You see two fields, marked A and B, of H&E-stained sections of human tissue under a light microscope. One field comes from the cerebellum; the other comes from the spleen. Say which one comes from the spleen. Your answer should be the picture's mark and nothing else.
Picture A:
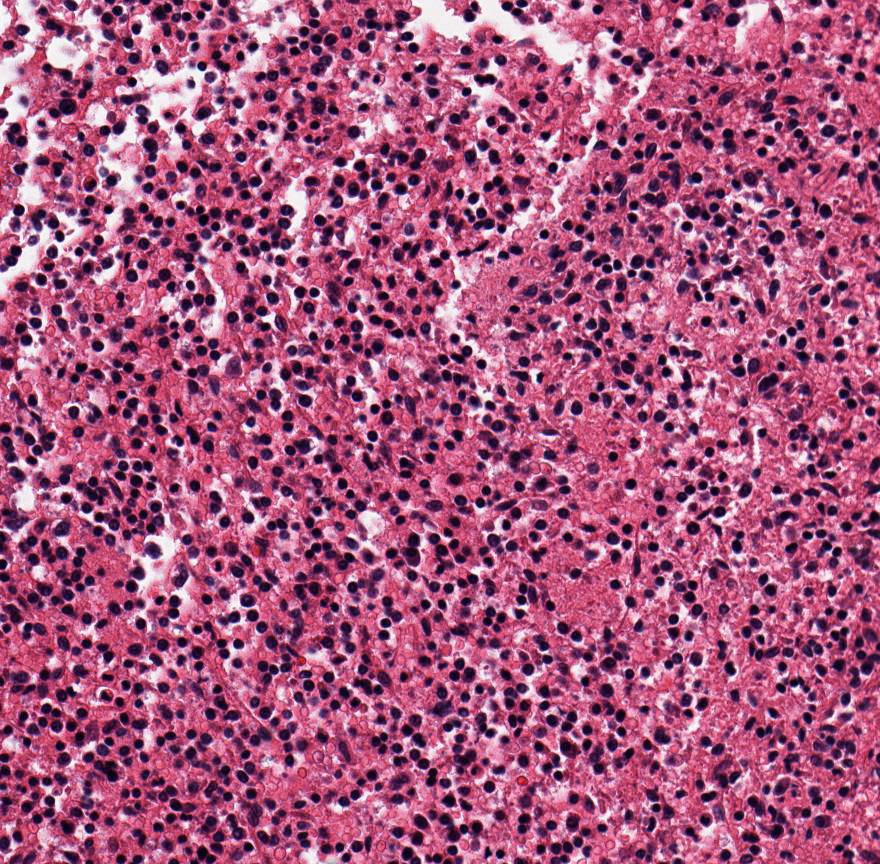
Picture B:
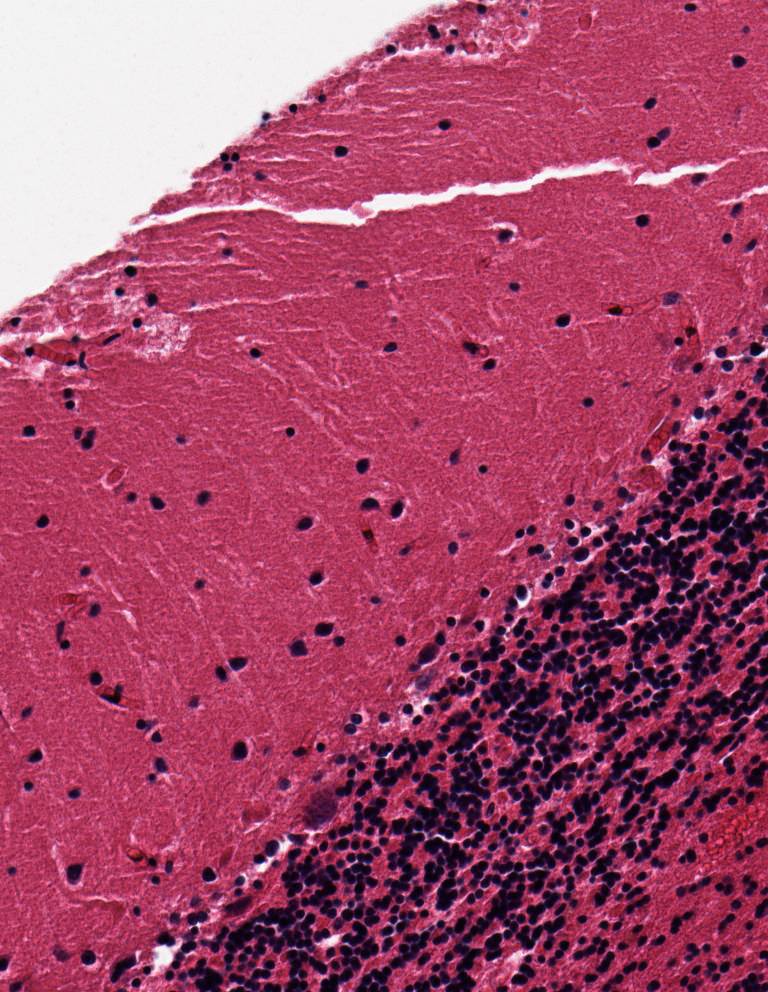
A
